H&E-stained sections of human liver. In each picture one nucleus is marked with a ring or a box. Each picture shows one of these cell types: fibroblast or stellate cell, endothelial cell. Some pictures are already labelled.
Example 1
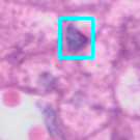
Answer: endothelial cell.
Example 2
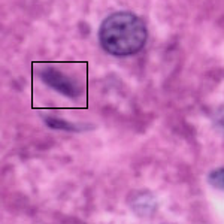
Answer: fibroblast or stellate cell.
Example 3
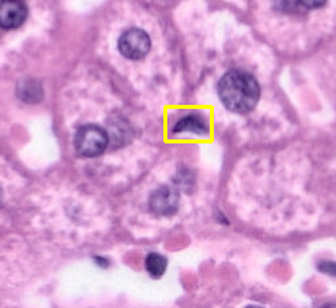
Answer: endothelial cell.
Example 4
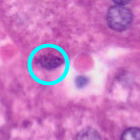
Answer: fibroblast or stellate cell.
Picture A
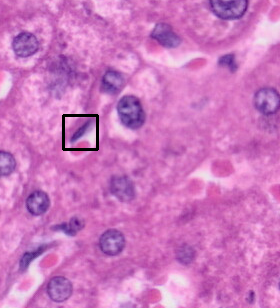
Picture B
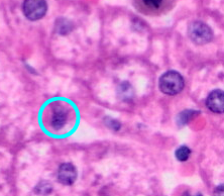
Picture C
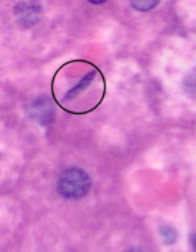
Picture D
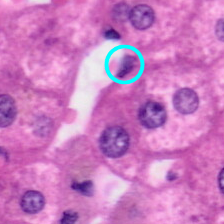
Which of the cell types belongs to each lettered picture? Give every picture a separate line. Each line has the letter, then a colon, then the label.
A: endothelial cell.
B: fibroblast or stellate cell.
C: endothelial cell.
D: endothelial cell.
